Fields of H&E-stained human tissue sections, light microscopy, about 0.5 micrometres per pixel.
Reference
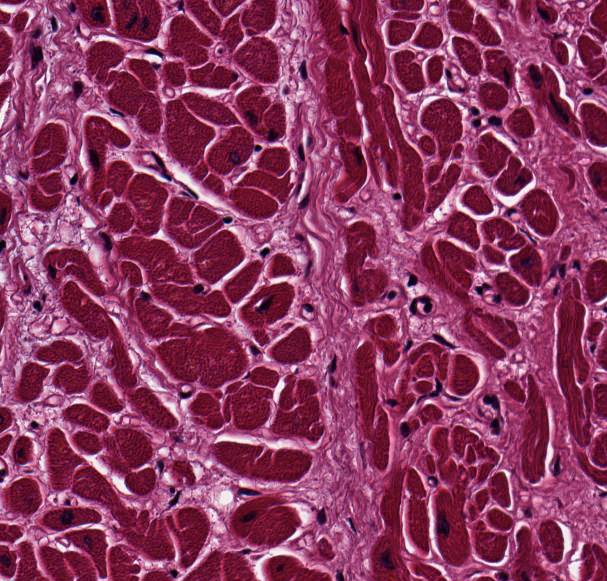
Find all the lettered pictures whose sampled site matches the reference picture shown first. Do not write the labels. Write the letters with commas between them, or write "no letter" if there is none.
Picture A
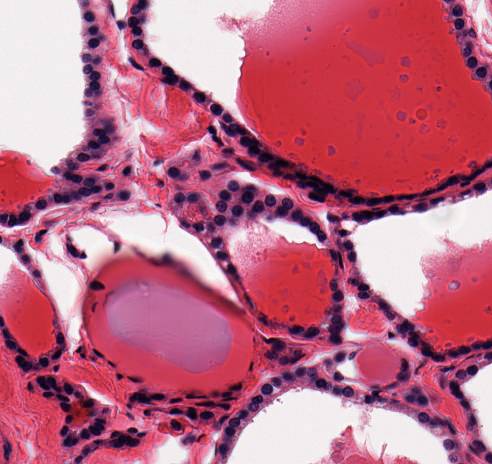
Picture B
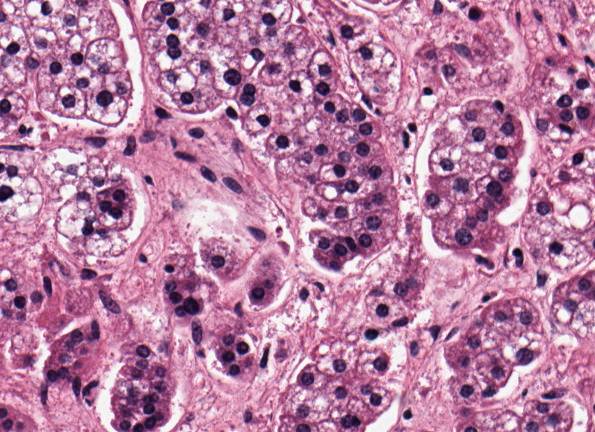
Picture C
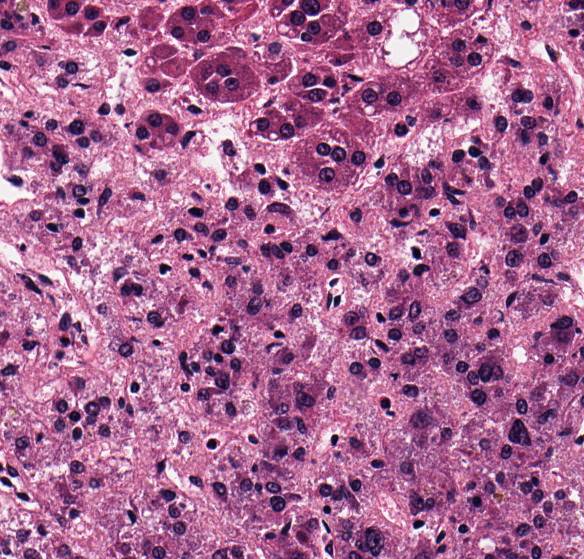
no letter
